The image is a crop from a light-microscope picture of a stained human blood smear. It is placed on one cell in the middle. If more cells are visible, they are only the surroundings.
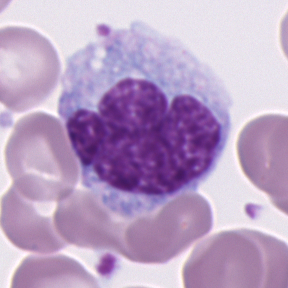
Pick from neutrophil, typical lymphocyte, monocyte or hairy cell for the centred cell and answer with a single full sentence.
By type, the central cell of the crop is a monocyte.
